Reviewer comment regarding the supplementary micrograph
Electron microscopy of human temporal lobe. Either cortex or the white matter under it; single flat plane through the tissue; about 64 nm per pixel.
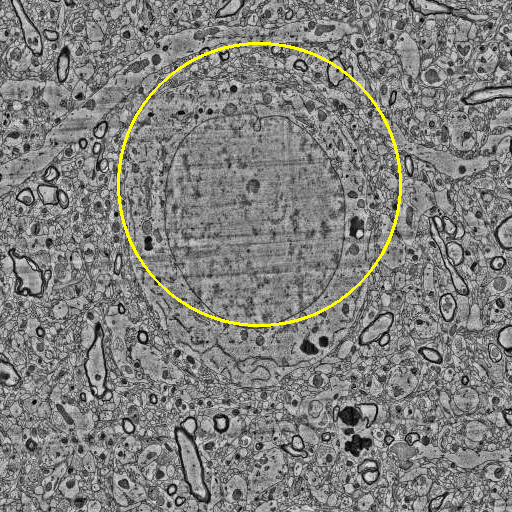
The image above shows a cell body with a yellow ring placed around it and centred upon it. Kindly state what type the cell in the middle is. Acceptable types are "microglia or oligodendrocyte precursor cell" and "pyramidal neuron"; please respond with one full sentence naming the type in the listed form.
In the image above, the cell on which the yellow ring is centred is a pyramidal neuron.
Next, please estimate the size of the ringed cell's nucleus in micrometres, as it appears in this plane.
Roughly 14 by 12 micrometres is the size of the nucleus in this plane.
